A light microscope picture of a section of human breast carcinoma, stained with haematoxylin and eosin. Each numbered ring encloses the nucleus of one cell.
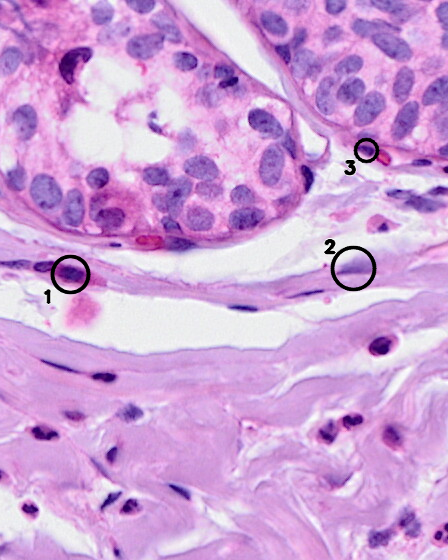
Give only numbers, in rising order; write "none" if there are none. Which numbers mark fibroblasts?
2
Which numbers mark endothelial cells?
3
